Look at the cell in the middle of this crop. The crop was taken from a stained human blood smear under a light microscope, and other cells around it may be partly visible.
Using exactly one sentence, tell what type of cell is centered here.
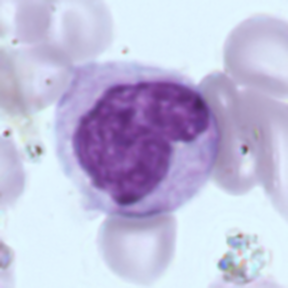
The cell found in the middle of this crop is a band neutrophil.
